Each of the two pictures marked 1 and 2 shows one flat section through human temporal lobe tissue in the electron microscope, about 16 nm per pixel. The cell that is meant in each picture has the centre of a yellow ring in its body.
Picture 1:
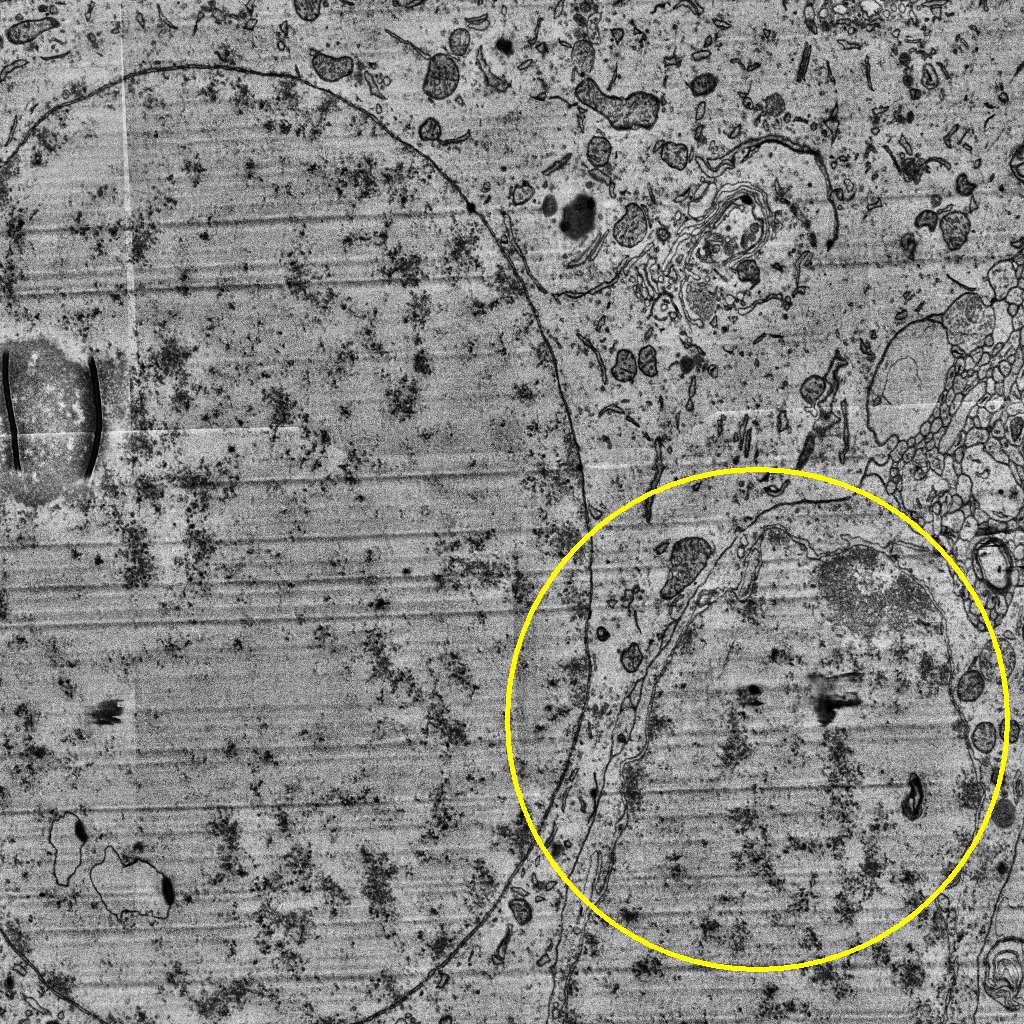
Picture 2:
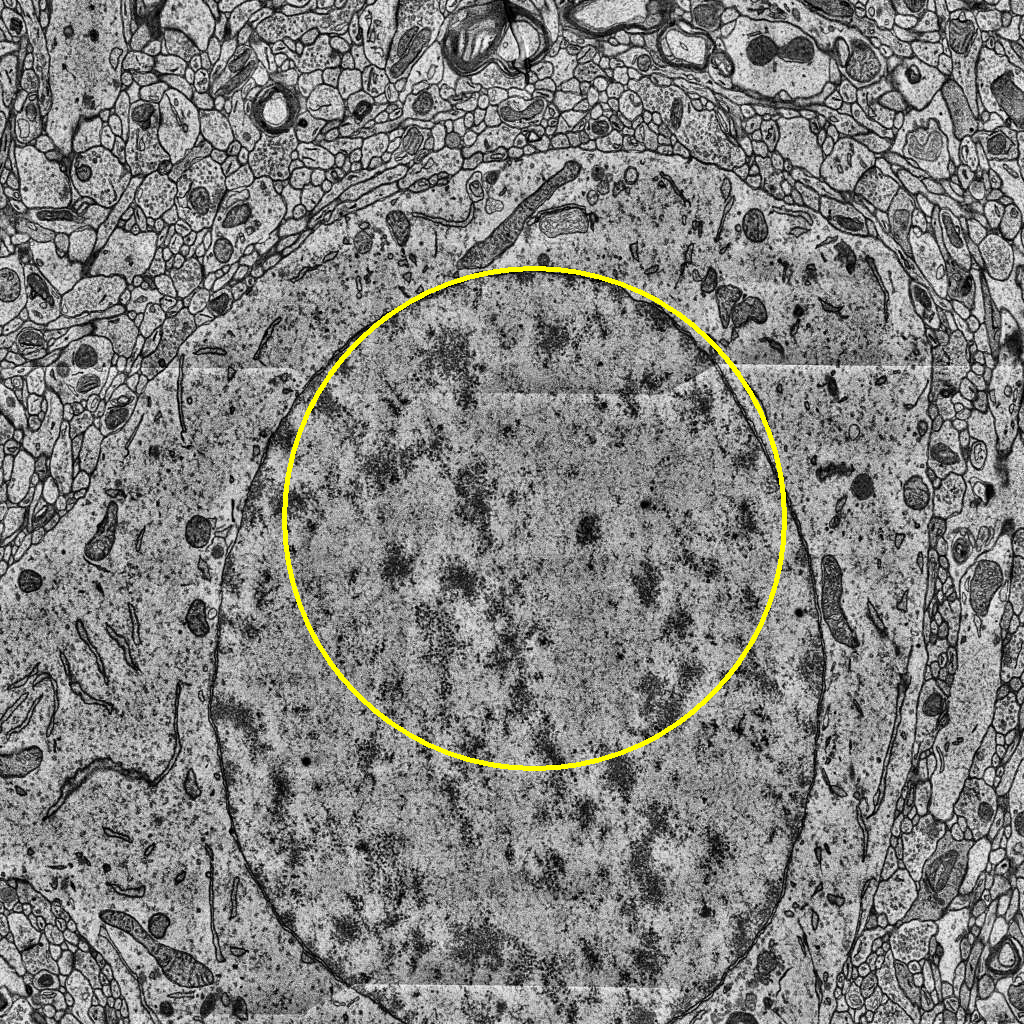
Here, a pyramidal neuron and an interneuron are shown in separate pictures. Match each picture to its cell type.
Picture 2 shows a pyramidal neuron, while picture 1 shows an interneuron.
